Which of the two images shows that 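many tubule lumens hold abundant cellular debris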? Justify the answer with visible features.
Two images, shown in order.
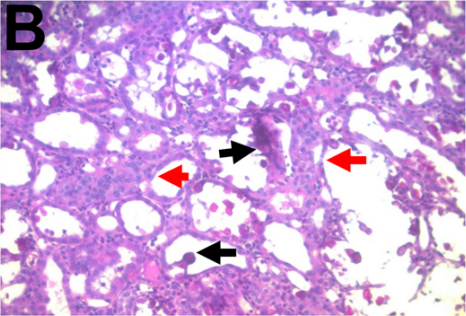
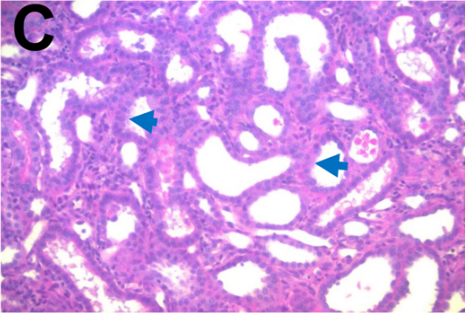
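Second image: most tubule lumens are open and largely clear. First image: many dilated lumens contain dark purple clumps of debris.
Conclusion: the first image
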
